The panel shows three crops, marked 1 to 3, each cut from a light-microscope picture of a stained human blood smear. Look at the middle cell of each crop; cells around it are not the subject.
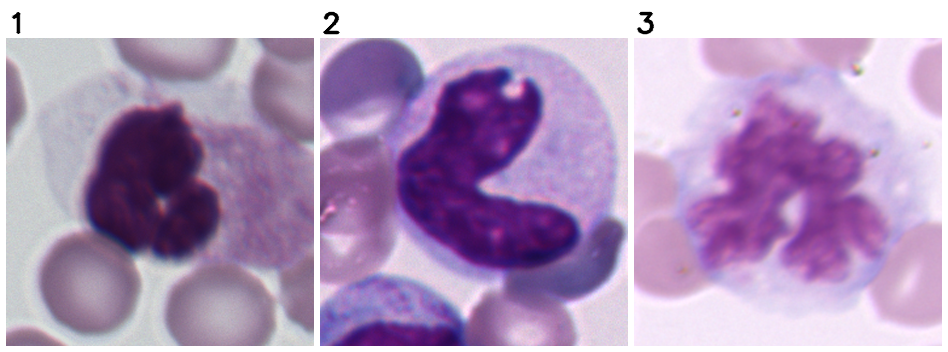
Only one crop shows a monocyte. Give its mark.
3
